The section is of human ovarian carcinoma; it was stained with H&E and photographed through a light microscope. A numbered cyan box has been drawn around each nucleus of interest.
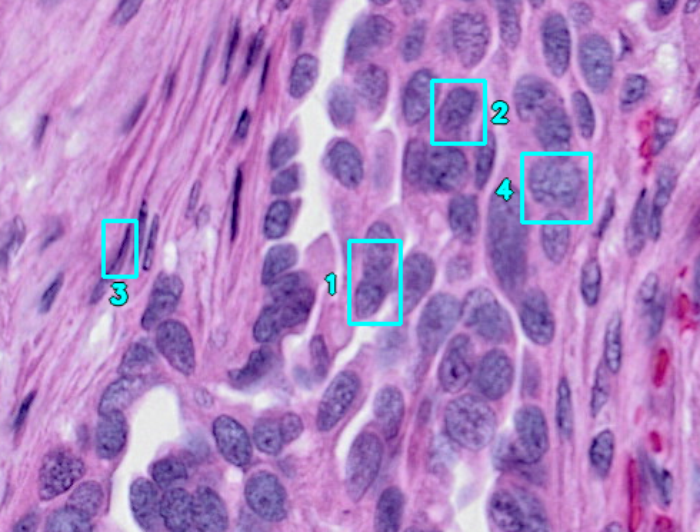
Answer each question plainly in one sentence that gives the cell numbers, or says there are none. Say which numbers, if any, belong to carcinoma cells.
The cells marked with the numbers 1, 2 and 4 are carcinoma cells.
